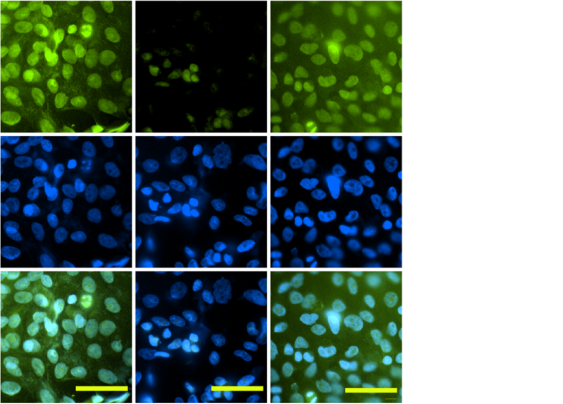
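These are cultured cells shown in three columns, with green staining in the top row, blue nuclei in the middle row and the two merged below. The oval nuclei are closely packed in a continuous sheet; in the left and right columns the green is bright and lies mostly within the nuclei, while in the middle column it is faint and limited to scattered nuclei. In the merged row the nuclei appear cyan where green and blue overlap, except in the middle column where they stay mostly blue.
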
